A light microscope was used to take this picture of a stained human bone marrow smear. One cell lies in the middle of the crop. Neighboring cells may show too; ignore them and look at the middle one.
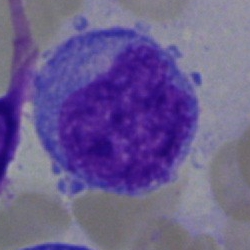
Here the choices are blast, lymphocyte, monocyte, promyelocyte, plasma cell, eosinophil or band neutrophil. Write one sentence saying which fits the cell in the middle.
The middle cell in this particular crop is a promyelocyte.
